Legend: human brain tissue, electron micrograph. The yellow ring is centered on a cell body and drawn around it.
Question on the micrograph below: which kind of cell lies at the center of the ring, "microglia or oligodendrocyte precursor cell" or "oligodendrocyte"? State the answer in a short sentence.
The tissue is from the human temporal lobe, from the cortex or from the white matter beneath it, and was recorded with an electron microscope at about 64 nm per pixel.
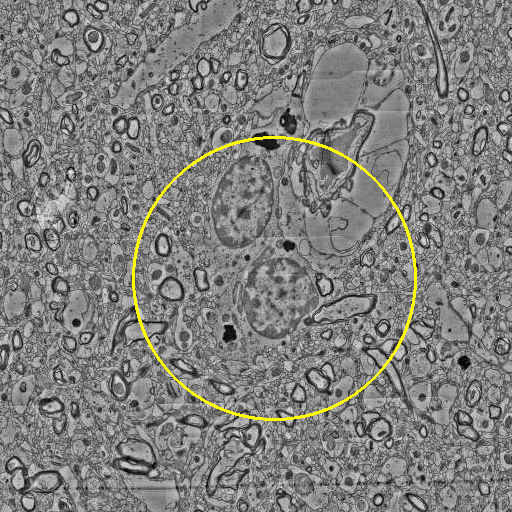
At the center of the ring lies an oligodendrocyte.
